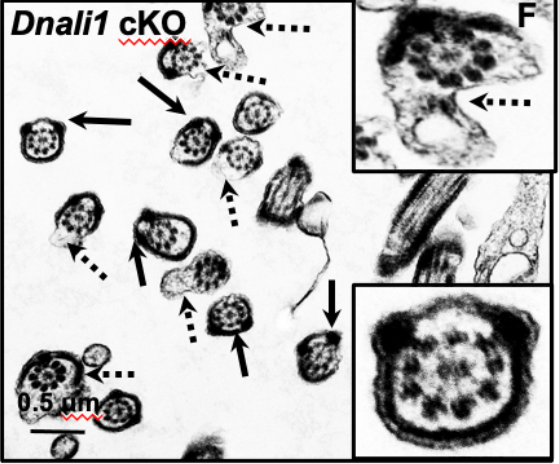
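Electron micrograph of many sperm flagella in cross section at the level of the principal piece, each with a ring of microtubule doublets around a centre and an enclosing dense fibrous sheath. Many sections are irregular in outline, with the sheath uneven in thickness and lopsided. Several flagella carry pale, loose bulges where the surrounding membrane stands away from the sheath; one is enlarged in an inset. A second inset shows a single cross section with an asymmetric sheath. A few flagella are cut obliquely or lengthwise at the right.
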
